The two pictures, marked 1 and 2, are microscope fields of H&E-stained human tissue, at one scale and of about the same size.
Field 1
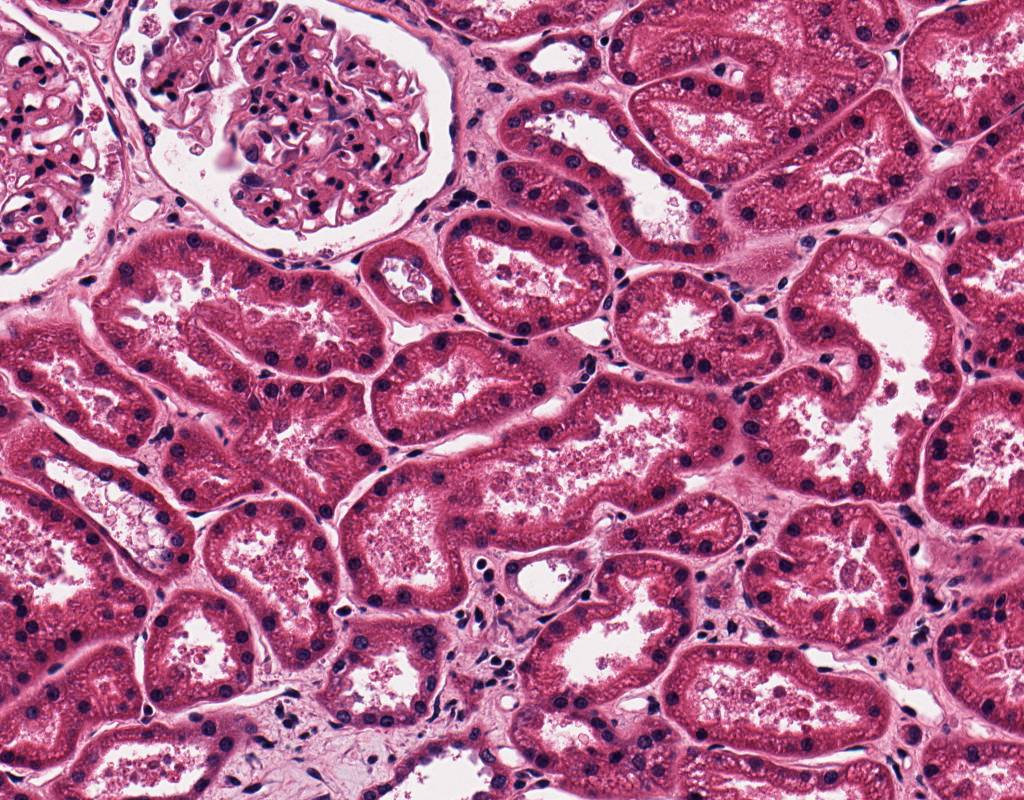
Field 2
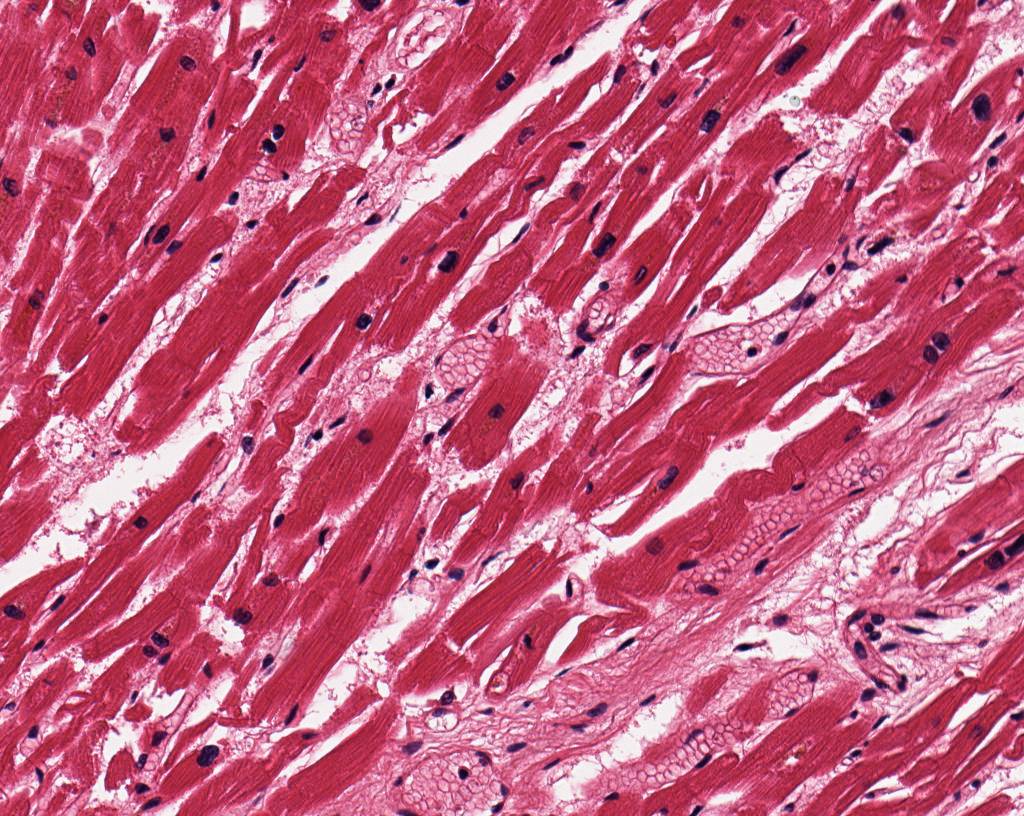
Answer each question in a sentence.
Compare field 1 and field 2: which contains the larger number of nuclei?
There are more nuclei in field 1.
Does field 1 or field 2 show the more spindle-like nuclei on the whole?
On the whole the nuclei of field 2 are more drawn out than those of field 1.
